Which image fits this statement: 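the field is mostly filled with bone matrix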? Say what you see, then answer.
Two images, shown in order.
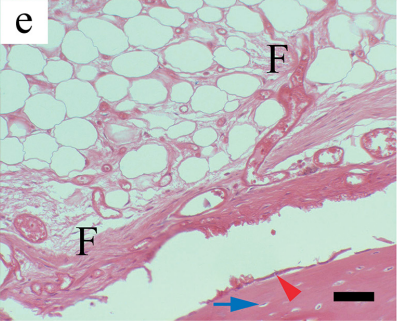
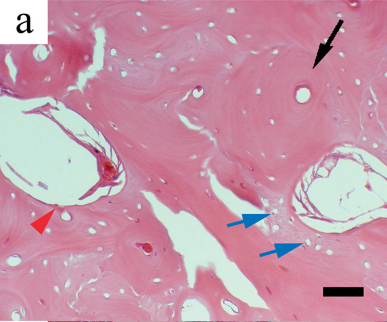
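The second image. First image: fat cells and fibrous tissue fill most of the field, with only a thin strip of bone at the bottom. Second image: dense pink bone with many osteocyte lacunae fills most of the field.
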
